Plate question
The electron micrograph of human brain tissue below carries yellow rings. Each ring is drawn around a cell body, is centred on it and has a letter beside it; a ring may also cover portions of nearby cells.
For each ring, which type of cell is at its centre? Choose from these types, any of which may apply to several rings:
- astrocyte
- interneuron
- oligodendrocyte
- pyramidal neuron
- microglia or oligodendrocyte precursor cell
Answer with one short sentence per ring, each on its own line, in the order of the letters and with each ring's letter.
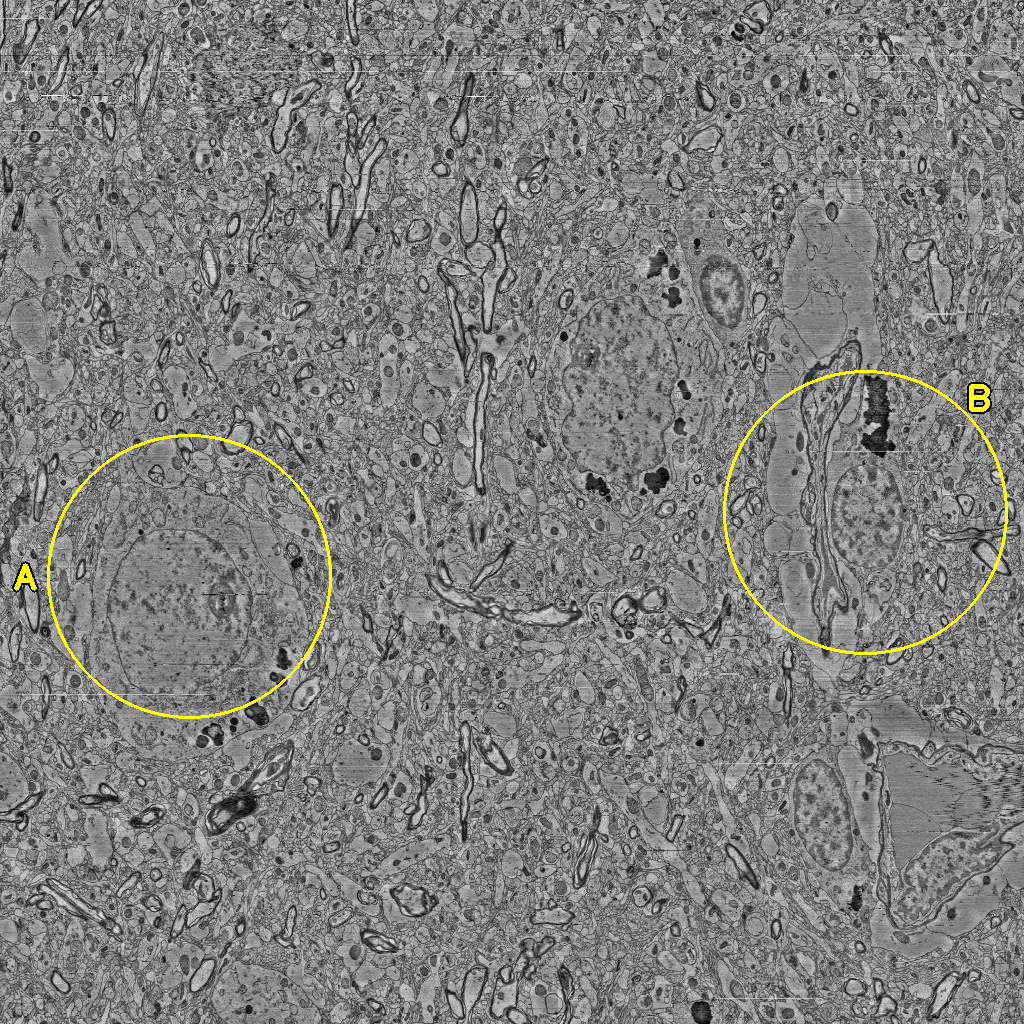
The cell ringed as A is a pyramidal neuron.
The cell ringed as B is an oligodendrocyte.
